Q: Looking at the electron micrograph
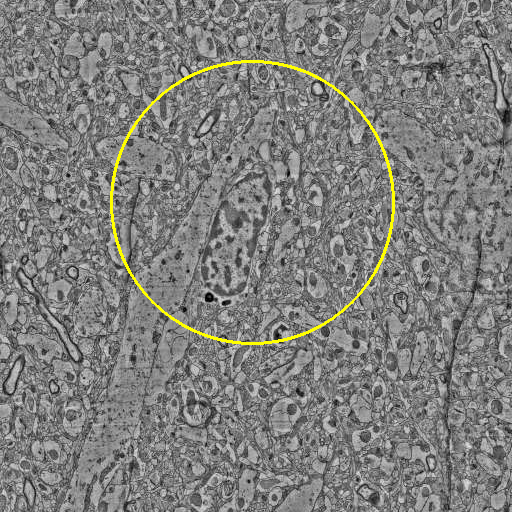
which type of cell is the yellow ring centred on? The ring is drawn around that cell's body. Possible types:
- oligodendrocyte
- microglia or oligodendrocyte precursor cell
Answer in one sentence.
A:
The yellow ring is centred on a microglial cell or oligodendrocyte precursor cell.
